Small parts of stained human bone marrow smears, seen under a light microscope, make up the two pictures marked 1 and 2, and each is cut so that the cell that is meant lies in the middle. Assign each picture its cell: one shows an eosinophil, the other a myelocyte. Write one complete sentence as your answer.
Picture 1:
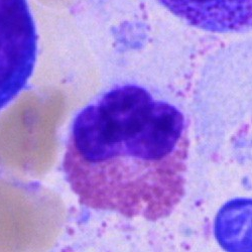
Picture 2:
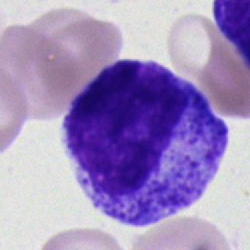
In picture 1 the cell is an eosinophil; in picture 2, a myelocyte.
